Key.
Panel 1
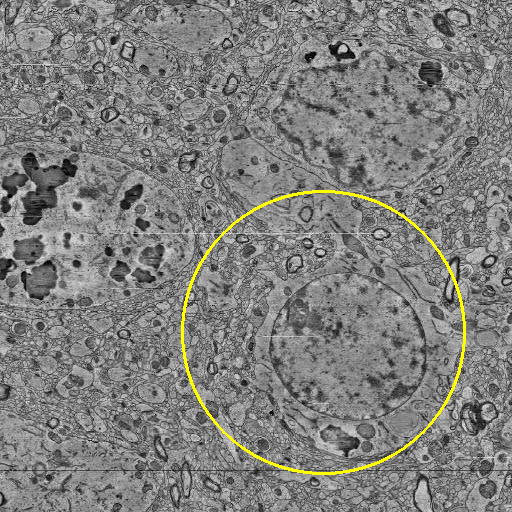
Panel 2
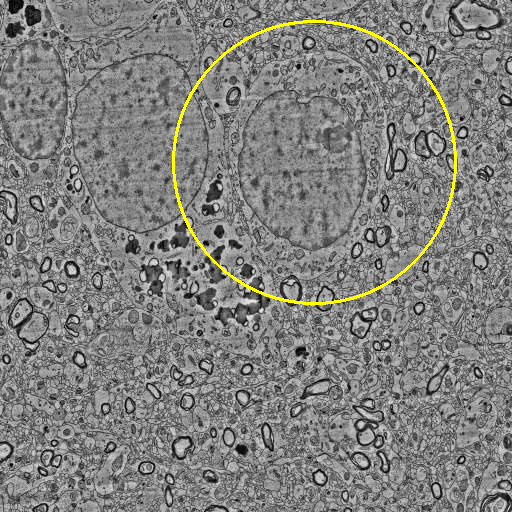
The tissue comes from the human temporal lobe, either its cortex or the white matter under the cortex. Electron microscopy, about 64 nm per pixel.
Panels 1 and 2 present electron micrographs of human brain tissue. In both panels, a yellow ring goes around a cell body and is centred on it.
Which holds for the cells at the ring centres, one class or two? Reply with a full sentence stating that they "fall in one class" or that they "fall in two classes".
Taken together, the ring-centre cells of the two panels fall in two classes.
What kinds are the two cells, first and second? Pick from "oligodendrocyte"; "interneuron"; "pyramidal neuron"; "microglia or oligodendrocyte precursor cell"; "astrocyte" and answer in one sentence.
The second picture holds an interneuron in its ring, and the first holds an astrocyte.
